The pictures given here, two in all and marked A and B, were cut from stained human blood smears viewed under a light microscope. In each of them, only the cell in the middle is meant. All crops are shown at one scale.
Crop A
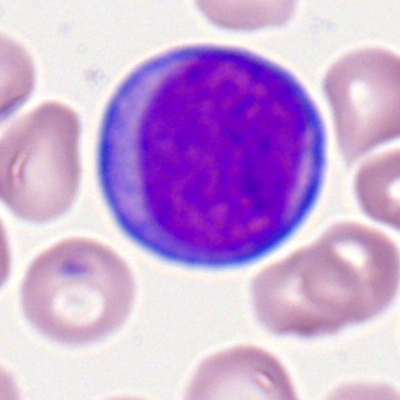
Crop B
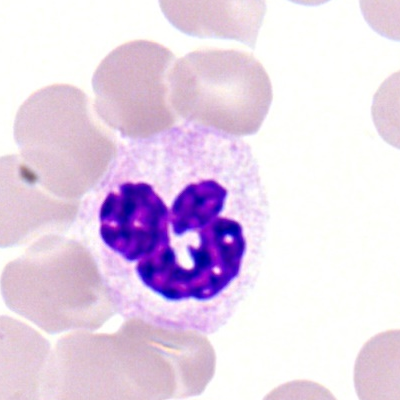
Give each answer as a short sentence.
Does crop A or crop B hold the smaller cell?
Smaller is the cell in crop B, and the other is about 1.5 times as large in area.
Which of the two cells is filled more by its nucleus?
The nucleus fills more of the cell in crop A than in crop B.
